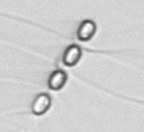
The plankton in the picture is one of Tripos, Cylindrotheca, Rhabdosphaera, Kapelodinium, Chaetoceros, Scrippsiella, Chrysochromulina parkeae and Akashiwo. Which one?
Chaetoceros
